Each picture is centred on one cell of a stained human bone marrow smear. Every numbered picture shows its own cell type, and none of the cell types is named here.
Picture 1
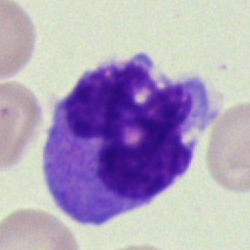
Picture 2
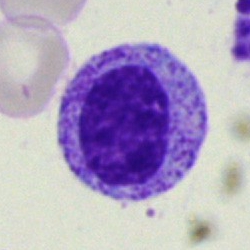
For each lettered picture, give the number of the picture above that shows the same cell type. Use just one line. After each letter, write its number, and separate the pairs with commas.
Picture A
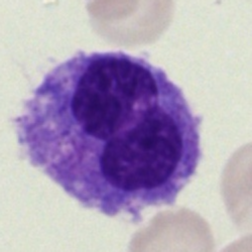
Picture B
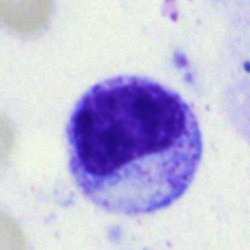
A 1, B 2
